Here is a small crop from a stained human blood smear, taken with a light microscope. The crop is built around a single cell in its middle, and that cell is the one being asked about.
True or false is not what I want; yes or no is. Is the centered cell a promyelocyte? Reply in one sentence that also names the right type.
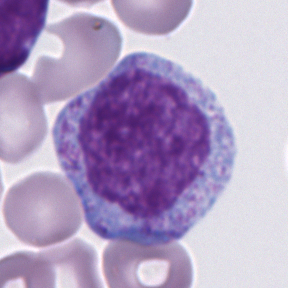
Yes, the cell centred in the field of view is a promyelocyte.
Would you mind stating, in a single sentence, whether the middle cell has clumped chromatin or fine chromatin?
In this cell the chromatin is fine rather than coarsely clumped.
